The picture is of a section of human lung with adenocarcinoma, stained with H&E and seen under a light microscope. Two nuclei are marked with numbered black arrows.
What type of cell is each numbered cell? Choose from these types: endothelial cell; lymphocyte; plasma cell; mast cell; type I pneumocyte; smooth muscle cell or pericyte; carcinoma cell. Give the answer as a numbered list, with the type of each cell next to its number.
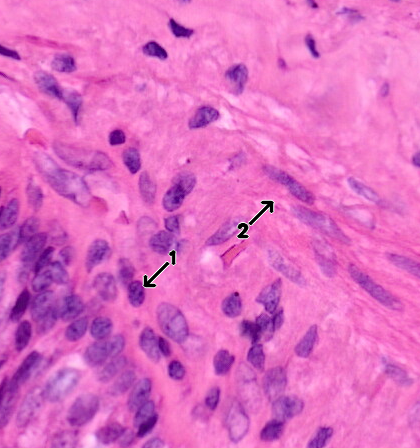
1. mast cell
2. smooth muscle cell or pericyte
